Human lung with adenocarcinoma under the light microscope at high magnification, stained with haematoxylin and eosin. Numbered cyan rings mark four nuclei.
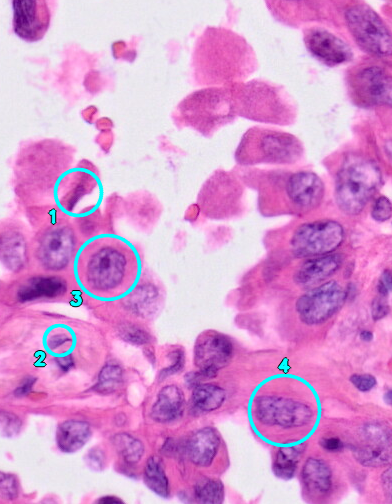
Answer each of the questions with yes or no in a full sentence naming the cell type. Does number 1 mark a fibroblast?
No, the cell under number 1 is a carcinoma cell, not a fibroblast.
